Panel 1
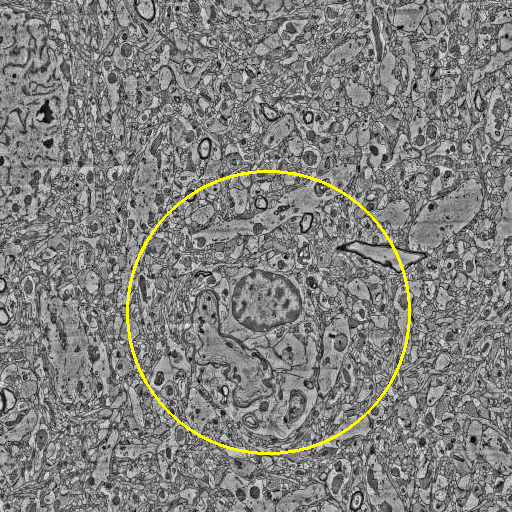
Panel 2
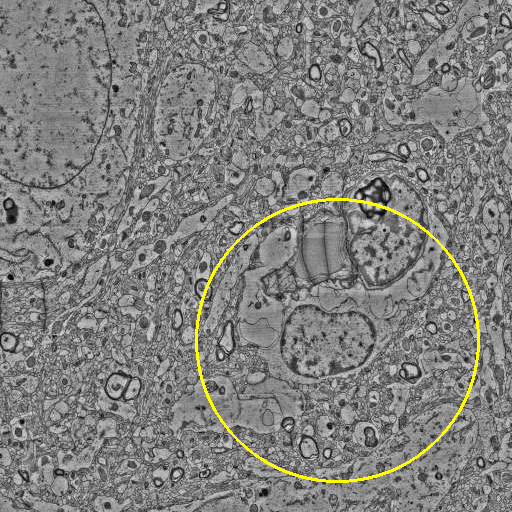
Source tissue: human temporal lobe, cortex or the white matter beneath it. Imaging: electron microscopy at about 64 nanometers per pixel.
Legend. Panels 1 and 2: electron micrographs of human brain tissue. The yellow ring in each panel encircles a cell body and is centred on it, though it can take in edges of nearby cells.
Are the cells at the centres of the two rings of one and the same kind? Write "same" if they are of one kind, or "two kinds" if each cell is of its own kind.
same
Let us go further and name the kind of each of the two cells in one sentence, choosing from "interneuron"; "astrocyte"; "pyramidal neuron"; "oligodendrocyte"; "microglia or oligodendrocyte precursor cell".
Each cell at the centre of a ring is a microglial cell or oligodendrocyte precursor cell.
